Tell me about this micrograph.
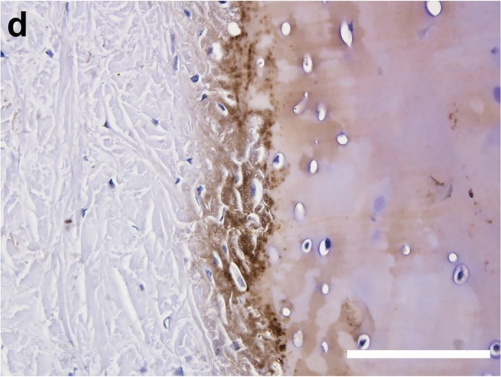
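Cartilage on the right with rounded cells in lacunae and blue-purple nuclei set in pale matrix, bordered on the left by pale, wavy fibrous connective tissue. A band of dense brown stain lies along the interface, fading into a lighter brown tint in the adjacent matrix.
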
